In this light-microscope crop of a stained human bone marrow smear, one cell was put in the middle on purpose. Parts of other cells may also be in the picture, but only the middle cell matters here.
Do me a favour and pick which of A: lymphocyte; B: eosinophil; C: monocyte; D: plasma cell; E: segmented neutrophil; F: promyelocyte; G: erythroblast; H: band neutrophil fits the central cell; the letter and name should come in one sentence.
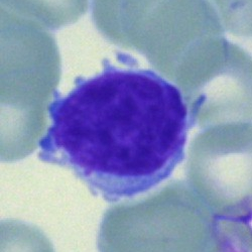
This one is option A, since the cell at the center is a lymphocyte.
